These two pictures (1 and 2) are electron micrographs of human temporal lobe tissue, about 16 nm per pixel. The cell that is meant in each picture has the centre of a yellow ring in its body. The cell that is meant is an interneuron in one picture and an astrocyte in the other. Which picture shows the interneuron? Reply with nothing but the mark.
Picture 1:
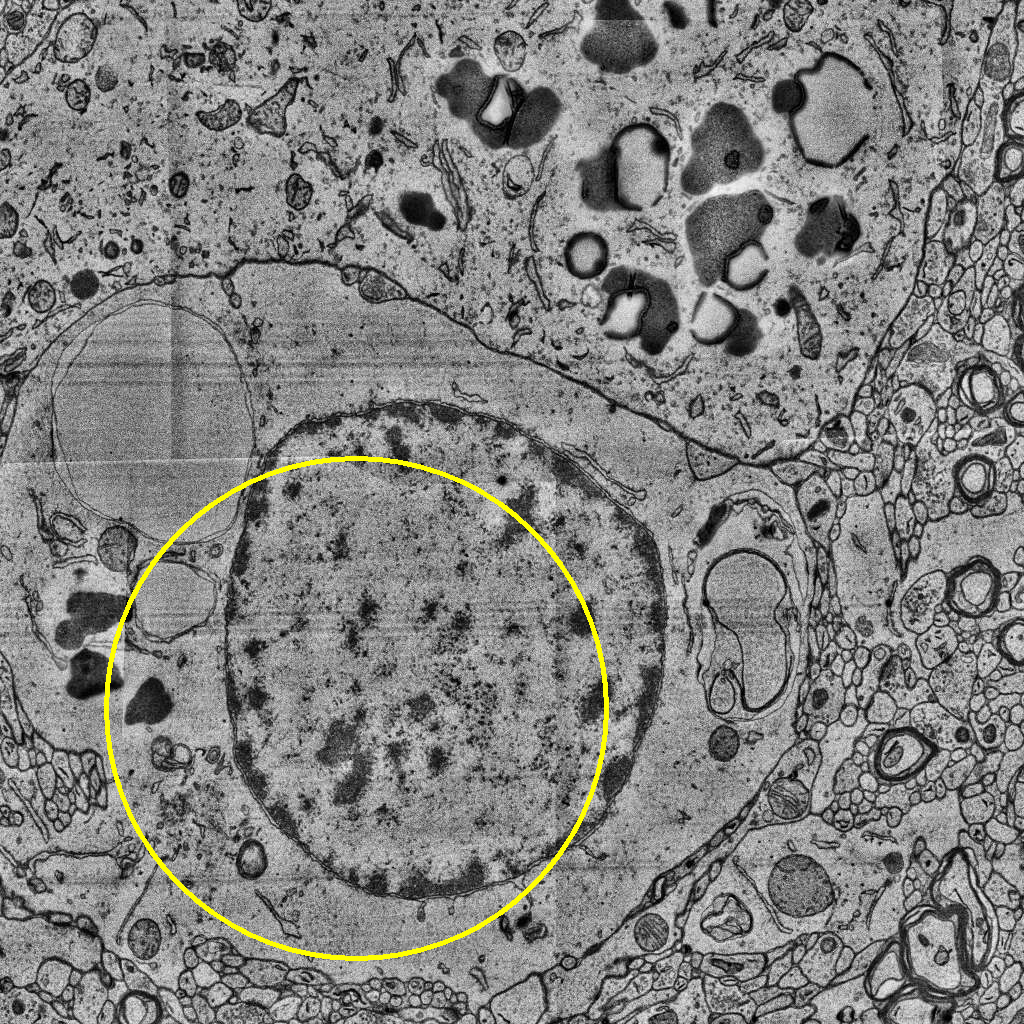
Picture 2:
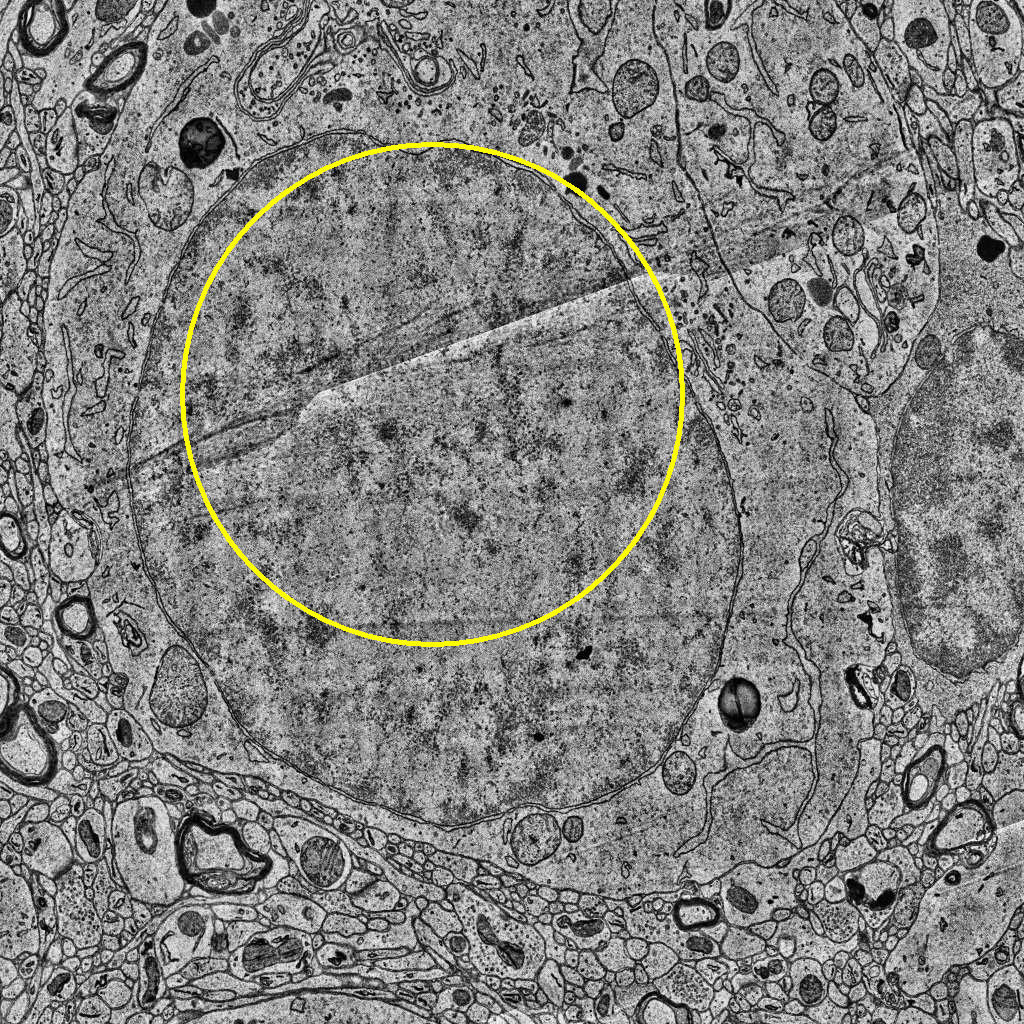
2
